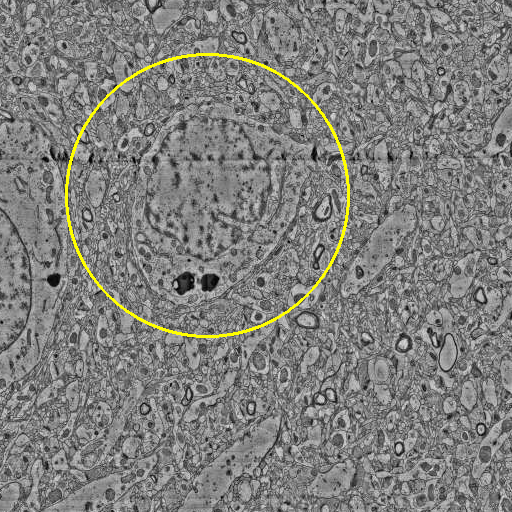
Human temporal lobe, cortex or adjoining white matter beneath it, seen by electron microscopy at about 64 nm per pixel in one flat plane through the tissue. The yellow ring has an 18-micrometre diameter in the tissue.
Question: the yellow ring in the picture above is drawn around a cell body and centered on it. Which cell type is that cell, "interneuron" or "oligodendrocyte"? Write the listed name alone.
interneuron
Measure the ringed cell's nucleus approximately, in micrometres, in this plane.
Approximately 9 micrometres across in this plane.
